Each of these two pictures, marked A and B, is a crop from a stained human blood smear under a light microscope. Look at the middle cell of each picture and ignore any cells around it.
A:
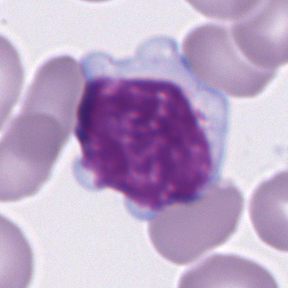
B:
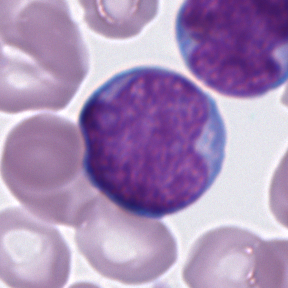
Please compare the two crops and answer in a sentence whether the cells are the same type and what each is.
No, crop B centres on a myeloblast, and crop A centres on a typical lymphocyte.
